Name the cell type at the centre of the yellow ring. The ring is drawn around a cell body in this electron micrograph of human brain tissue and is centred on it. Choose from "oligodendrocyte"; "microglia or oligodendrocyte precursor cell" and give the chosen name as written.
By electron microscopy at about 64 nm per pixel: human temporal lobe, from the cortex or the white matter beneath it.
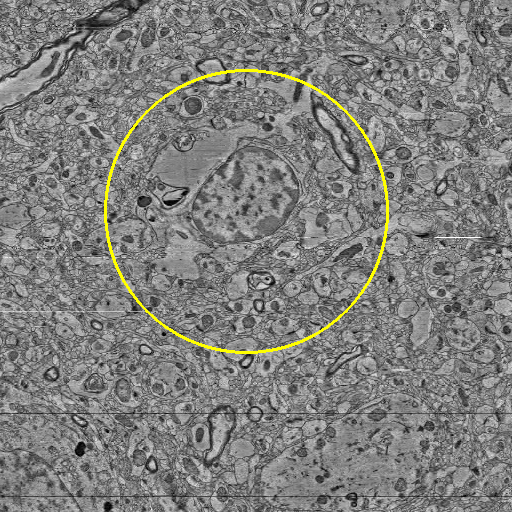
microglia or oligodendrocyte precursor cell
